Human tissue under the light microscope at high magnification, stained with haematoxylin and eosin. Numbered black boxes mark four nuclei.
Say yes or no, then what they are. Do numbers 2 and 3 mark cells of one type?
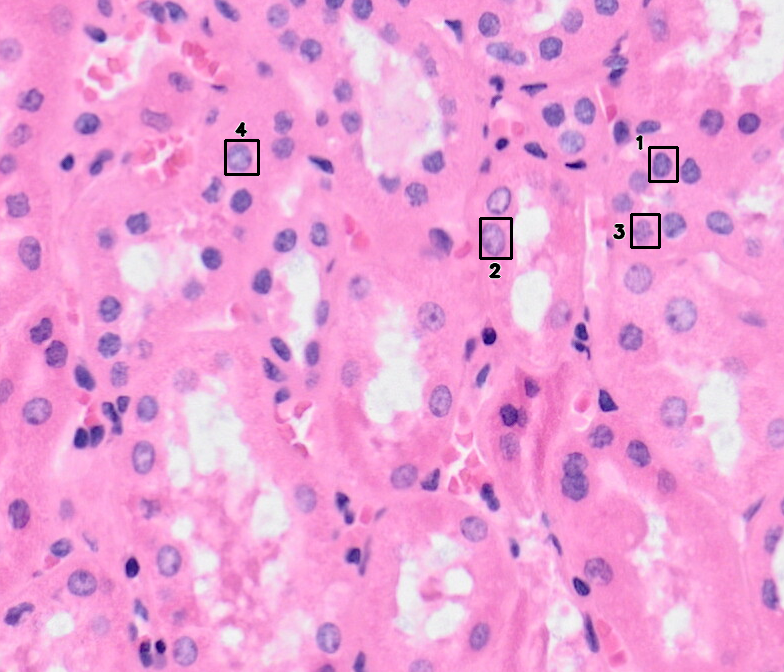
No, cell 2 is a proximal tubule cell and cell 3 is a loop of Henle or distal tubule cell.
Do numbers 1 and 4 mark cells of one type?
Yes, both are loop of Henle or distal tubule cells.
